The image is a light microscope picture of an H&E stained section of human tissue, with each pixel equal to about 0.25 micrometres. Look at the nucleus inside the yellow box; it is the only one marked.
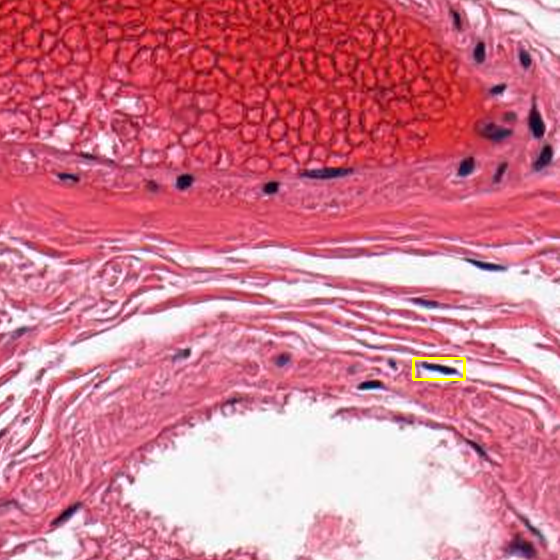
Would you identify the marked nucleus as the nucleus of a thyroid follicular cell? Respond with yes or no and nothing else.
no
